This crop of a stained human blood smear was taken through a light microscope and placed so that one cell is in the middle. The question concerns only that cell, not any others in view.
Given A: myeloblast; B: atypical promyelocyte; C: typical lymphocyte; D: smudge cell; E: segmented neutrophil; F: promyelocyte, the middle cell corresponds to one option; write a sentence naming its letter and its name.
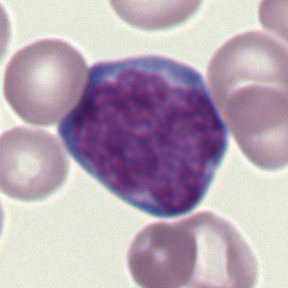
The correct option is A, as the central cell is a myeloblast.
